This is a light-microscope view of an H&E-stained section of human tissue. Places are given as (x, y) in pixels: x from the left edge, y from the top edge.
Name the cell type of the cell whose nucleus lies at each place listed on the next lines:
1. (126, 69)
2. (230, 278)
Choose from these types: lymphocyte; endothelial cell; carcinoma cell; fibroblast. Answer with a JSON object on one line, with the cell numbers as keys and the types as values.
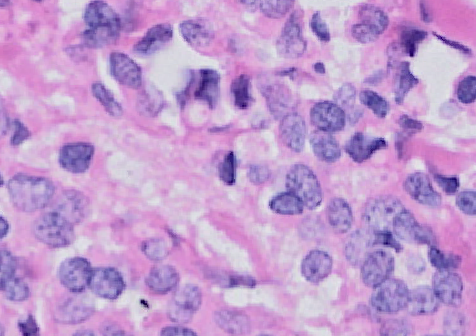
{"1": "carcinoma cell", "2": "fibroblast"}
